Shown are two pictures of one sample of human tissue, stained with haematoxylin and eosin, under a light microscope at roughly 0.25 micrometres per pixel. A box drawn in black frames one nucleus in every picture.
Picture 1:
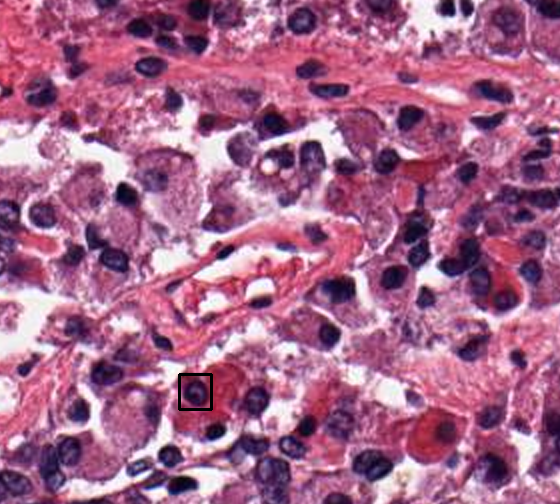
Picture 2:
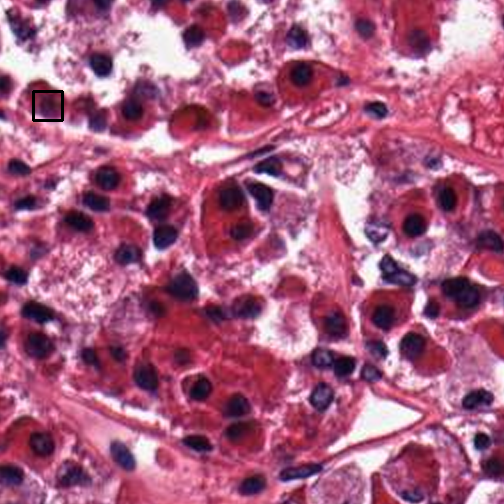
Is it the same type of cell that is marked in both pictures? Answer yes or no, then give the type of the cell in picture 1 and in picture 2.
Yes, both are anterior pituitary cells.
